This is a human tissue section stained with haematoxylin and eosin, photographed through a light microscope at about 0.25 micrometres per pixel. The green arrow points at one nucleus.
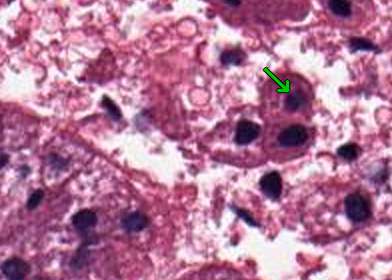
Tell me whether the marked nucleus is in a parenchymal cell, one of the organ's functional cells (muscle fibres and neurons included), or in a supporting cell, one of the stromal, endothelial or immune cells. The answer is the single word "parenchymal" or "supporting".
parenchymal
